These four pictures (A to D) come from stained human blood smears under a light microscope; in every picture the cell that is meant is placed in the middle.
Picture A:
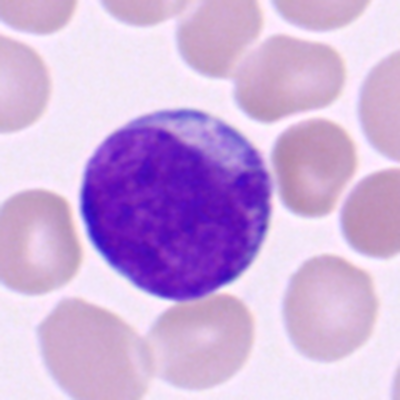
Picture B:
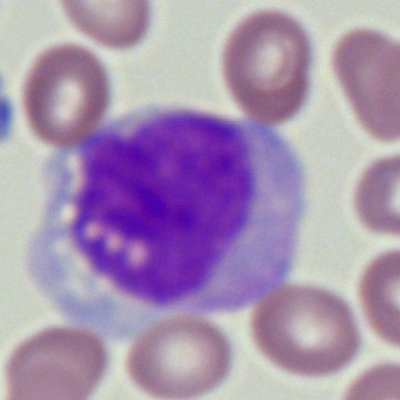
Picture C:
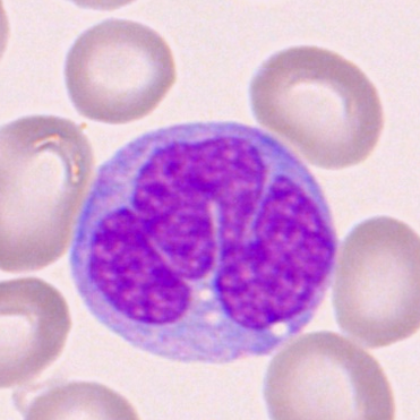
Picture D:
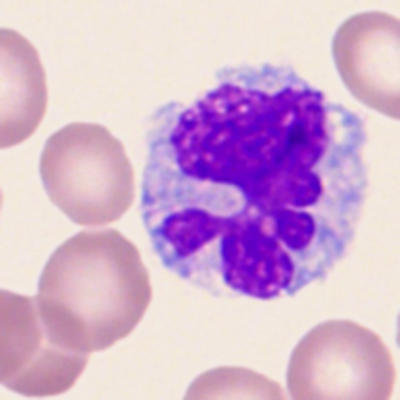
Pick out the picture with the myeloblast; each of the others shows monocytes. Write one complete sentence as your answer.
The myeloblast is the one in picture A.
